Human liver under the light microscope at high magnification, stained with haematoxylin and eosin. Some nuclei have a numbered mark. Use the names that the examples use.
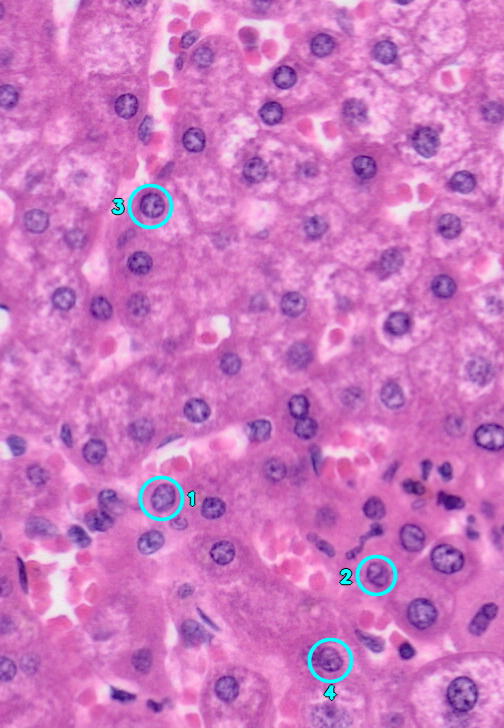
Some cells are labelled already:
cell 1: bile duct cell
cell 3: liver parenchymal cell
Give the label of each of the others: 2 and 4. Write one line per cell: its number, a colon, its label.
2: liver parenchymal cell
4: liver parenchymal cell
